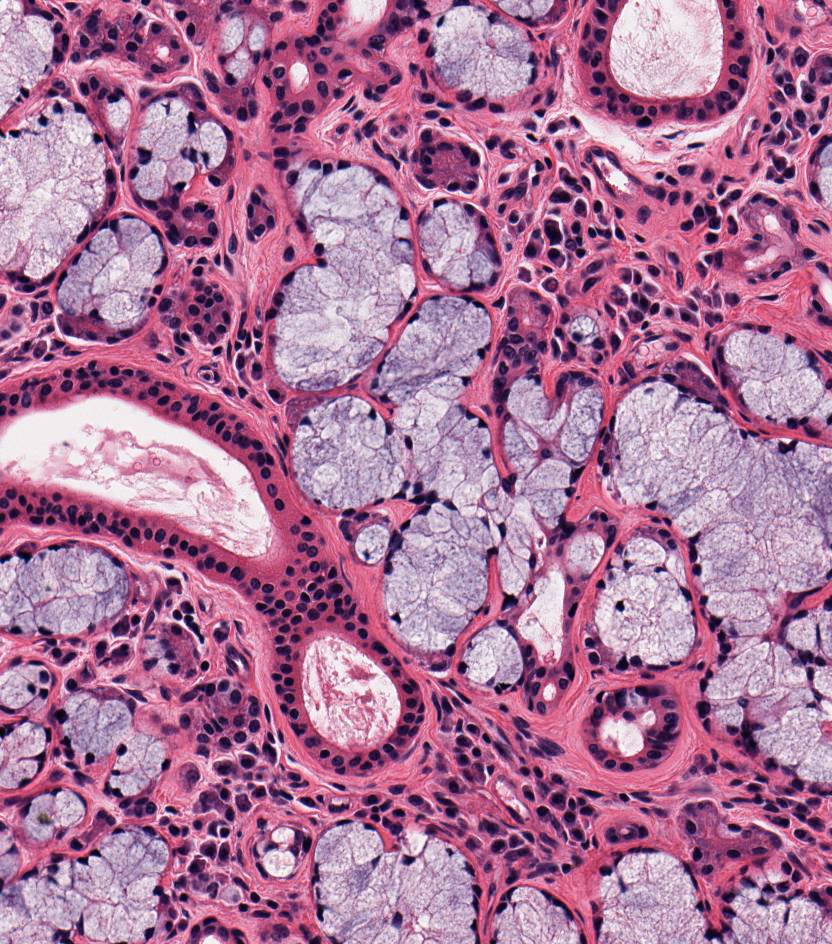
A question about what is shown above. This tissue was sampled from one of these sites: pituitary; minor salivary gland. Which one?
minor salivary gland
